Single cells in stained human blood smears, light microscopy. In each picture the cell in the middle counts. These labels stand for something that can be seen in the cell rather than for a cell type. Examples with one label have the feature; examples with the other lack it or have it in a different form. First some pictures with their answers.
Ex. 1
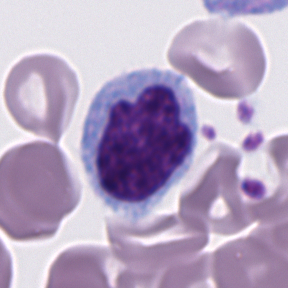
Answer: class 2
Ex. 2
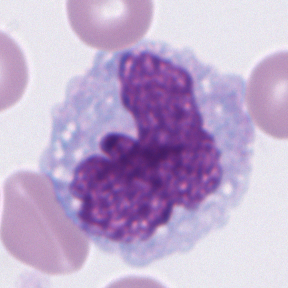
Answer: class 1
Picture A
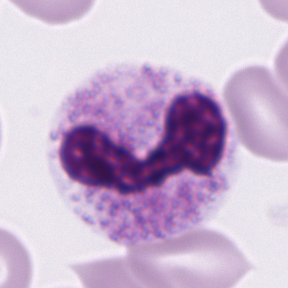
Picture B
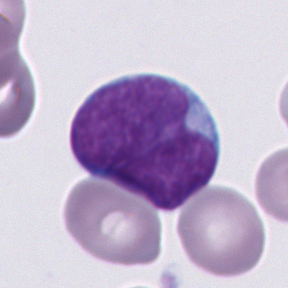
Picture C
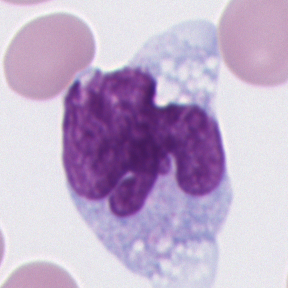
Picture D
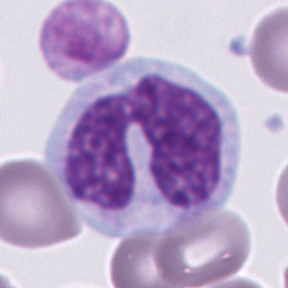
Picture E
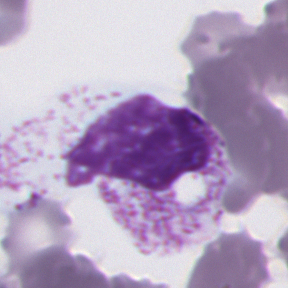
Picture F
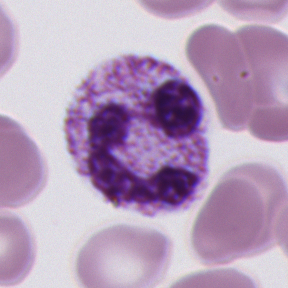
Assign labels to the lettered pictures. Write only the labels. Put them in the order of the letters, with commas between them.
class 2, class 2, class 1, class 2, class 1, class 2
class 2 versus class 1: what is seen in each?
class 2: no vacuoles; class 1: vacuoles present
